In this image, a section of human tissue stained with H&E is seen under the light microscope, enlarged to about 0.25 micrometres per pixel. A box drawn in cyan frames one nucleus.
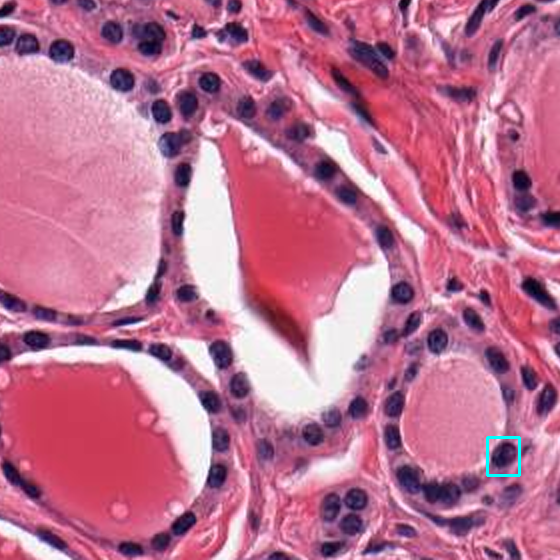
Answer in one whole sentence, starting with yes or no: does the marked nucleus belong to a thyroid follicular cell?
Yes, the marked nucleus is to be assigned to a thyroid follicular cell.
